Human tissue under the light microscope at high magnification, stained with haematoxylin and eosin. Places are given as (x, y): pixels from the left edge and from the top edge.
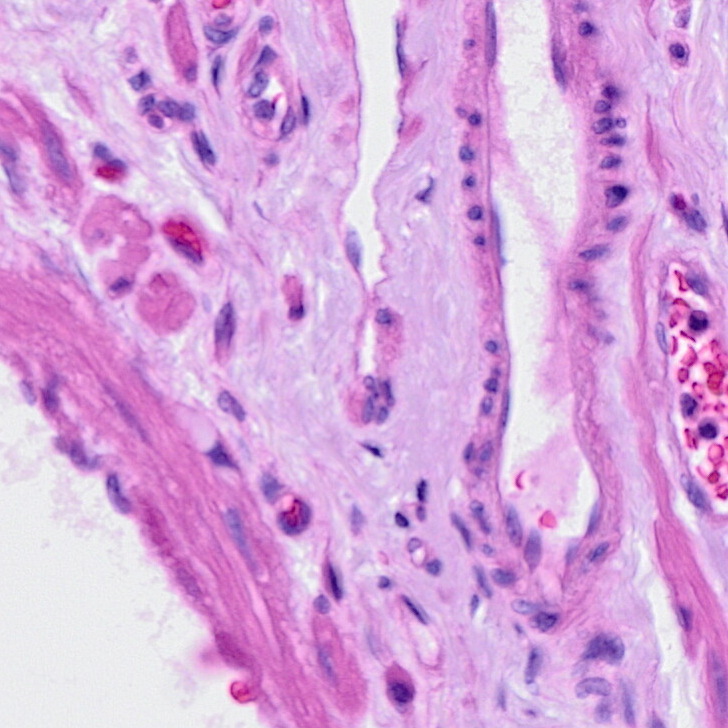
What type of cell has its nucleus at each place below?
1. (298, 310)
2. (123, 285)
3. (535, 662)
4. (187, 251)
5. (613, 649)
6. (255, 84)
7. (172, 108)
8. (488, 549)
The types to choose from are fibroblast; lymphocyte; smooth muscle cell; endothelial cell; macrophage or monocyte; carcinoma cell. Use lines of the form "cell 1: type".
cell 1: smooth muscle cell
cell 2: smooth muscle cell
cell 3: fibroblast
cell 4: endothelial cell
cell 5: fibroblast
cell 6: endothelial cell
cell 7: endothelial cell
cell 8: smooth muscle cell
